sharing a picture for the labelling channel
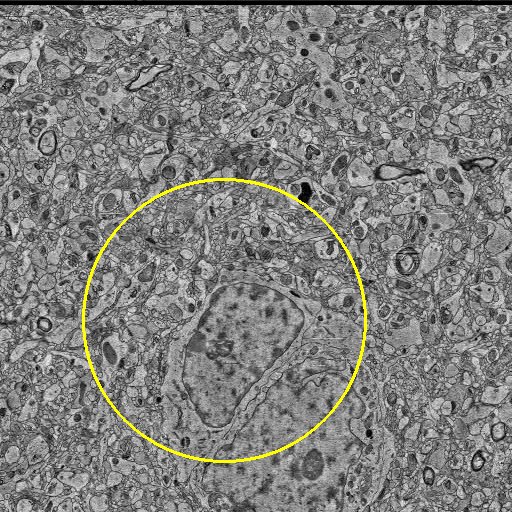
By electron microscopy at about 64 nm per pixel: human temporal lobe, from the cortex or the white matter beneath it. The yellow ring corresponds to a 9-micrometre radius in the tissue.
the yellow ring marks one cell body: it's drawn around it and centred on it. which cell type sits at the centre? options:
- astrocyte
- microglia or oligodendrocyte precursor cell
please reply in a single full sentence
In the picture, the cell at the ring's centre is a microglial cell or oligodendrocyte precursor cell, going by the list.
